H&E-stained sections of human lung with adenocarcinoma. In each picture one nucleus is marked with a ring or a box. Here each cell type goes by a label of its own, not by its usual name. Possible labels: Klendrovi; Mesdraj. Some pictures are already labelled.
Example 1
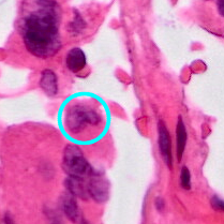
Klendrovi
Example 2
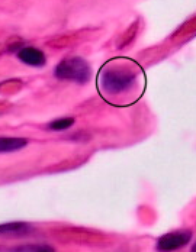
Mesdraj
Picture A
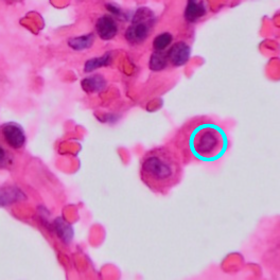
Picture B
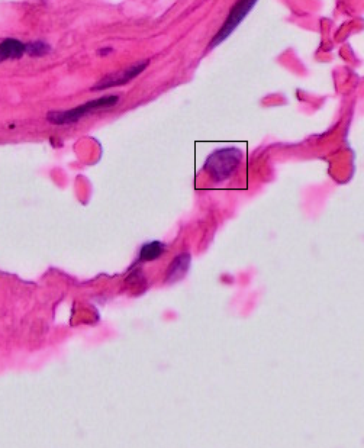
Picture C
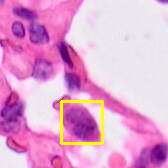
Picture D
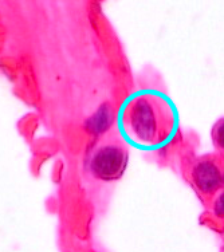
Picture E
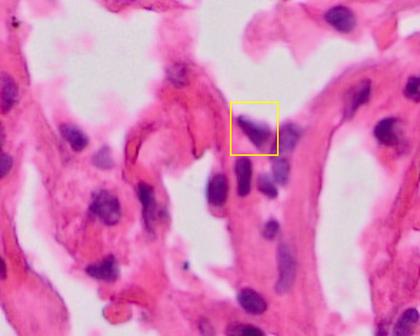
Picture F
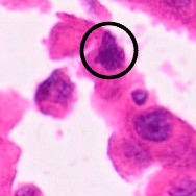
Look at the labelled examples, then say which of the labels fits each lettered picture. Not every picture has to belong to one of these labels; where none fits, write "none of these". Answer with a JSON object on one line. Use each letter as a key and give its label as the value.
{"A": "Klendrovi", "B": "Mesdraj", "C": "Klendrovi", "D": "Mesdraj", "E": "Mesdraj", "F": "none of these"}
